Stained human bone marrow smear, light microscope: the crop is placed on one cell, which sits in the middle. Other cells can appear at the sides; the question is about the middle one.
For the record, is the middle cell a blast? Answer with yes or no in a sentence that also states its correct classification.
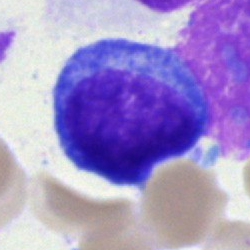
Yes, at the centre of the crop lies a blast.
